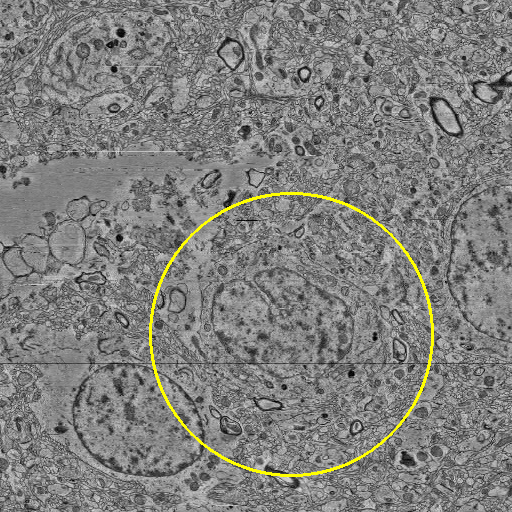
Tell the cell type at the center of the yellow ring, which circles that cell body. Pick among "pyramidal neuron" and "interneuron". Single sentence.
The ring is centered on the body of an interneuron.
